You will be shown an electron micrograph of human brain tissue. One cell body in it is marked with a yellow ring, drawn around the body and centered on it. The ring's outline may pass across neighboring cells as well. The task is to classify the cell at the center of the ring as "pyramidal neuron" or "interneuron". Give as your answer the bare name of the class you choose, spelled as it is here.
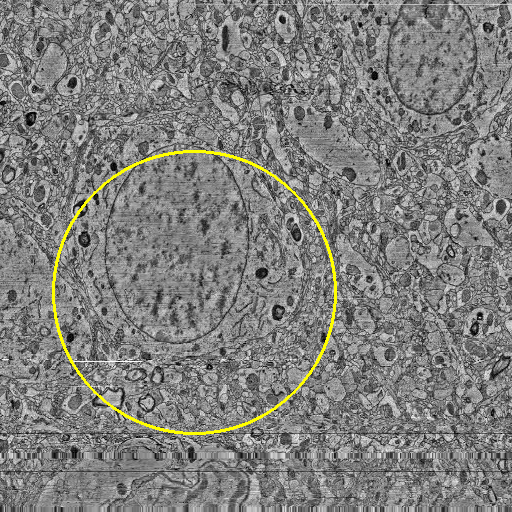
pyramidal neuron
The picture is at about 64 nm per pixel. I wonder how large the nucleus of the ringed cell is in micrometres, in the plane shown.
In this plane, approximately 13 by 9 micrometers.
